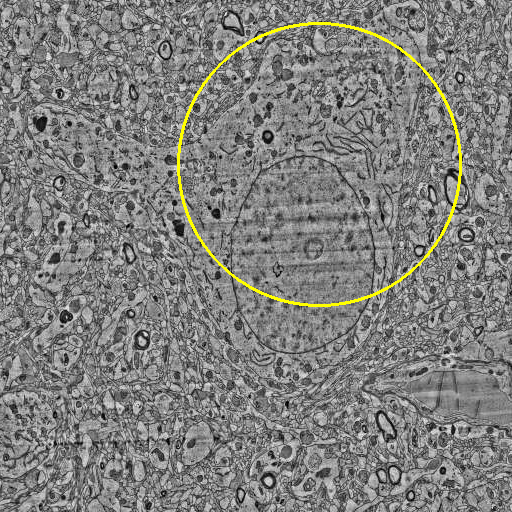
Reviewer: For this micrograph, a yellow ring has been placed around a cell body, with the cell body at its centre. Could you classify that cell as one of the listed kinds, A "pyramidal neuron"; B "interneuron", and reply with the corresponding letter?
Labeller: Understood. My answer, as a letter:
A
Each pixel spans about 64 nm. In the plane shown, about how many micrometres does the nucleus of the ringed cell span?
In this plane, the nucleus of the cell at the centre of the ring measures about 13 by 9 micrometres.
